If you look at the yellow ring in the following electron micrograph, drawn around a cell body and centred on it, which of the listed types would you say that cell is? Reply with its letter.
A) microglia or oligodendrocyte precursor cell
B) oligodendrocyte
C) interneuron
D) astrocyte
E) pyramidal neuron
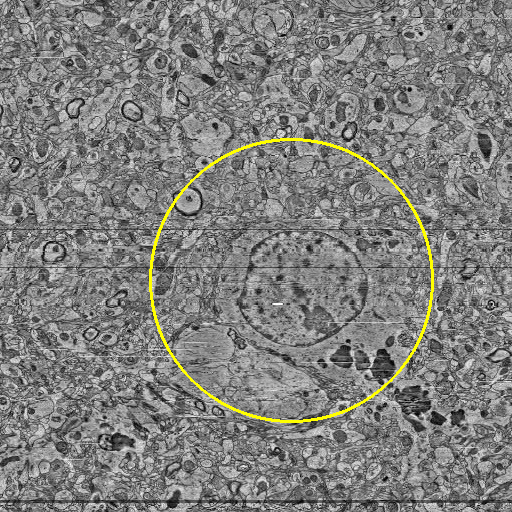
D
